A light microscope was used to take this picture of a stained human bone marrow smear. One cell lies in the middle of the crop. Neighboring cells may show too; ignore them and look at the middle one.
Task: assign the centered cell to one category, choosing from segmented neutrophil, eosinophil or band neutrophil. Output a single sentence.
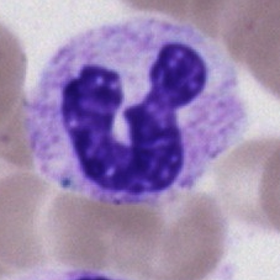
As for the central cell, it is a segmented neutrophil.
